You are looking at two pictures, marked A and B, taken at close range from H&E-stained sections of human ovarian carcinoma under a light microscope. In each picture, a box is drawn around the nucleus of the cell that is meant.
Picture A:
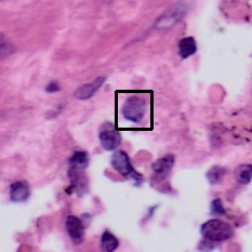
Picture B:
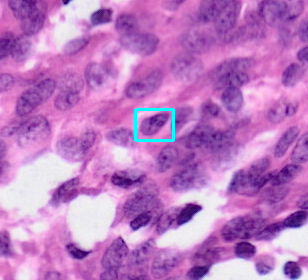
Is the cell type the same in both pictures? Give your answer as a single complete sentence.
Yes; the cells in both pictures are “macrophages or monocytes”.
